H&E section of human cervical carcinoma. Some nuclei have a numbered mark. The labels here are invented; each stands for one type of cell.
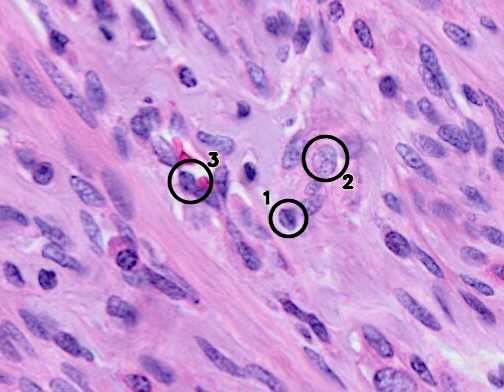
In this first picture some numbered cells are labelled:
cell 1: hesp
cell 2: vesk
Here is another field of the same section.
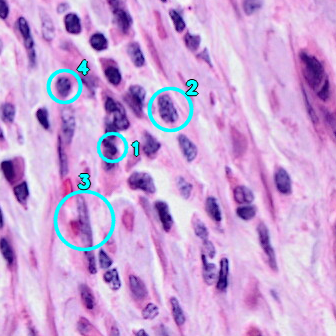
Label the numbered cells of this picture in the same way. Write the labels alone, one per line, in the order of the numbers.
hesp
hesp
vesk
hesp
